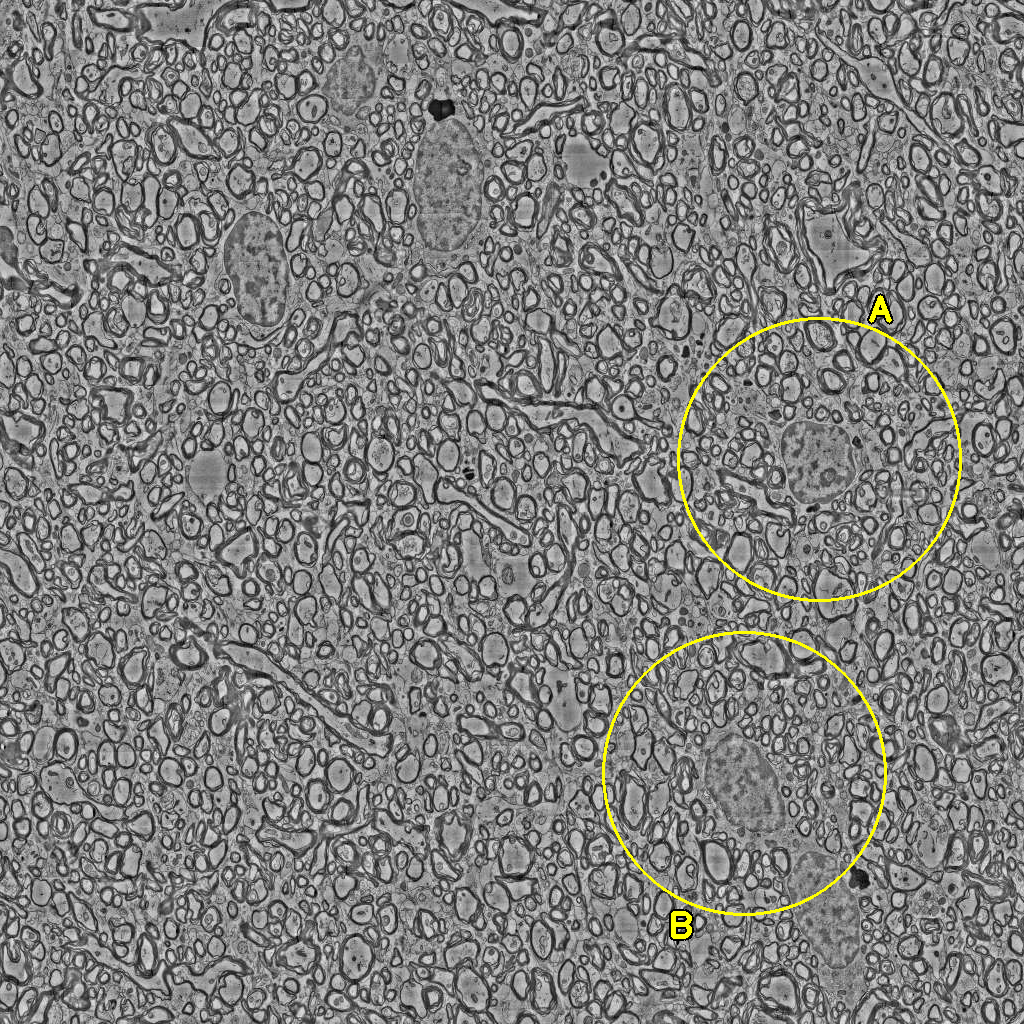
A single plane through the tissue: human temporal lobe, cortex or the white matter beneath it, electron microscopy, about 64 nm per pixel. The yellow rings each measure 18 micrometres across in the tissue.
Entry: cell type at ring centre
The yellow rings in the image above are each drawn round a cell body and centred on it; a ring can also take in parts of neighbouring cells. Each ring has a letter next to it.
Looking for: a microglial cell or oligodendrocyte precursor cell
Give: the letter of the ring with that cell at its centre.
A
